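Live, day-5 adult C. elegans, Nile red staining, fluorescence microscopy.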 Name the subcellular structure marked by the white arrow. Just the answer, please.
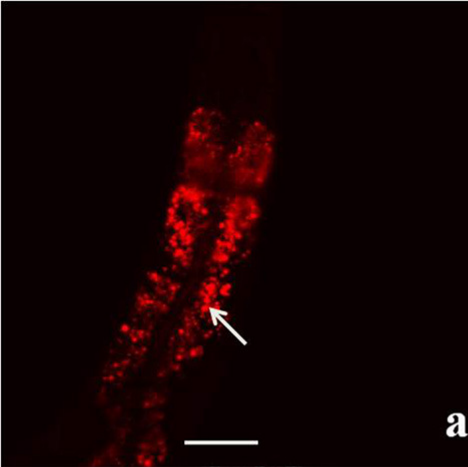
fat droplets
